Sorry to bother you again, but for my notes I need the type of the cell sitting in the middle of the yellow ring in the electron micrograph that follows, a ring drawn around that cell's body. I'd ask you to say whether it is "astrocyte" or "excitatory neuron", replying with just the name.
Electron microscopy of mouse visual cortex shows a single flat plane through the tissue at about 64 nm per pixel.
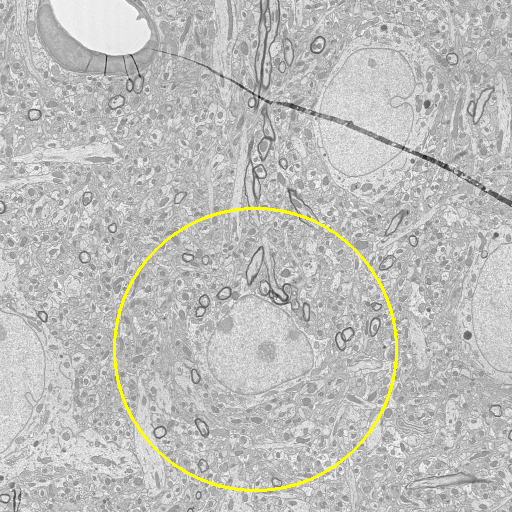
astrocyte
